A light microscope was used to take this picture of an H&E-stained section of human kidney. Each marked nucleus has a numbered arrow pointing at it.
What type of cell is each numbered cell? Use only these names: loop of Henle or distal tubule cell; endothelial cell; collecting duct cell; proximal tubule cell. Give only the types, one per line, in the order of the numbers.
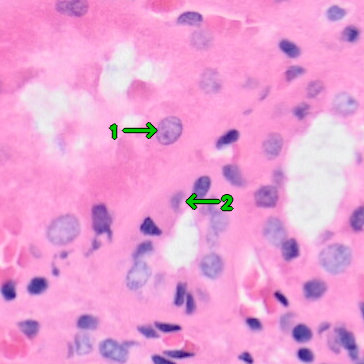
proximal tubule cell
collecting duct cell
